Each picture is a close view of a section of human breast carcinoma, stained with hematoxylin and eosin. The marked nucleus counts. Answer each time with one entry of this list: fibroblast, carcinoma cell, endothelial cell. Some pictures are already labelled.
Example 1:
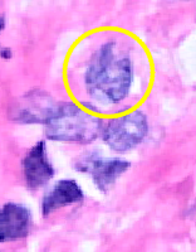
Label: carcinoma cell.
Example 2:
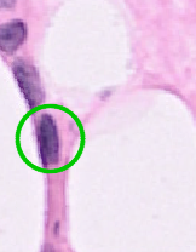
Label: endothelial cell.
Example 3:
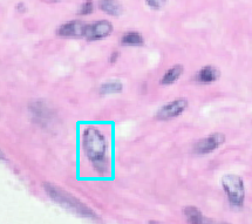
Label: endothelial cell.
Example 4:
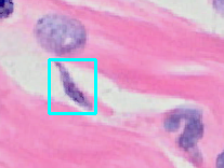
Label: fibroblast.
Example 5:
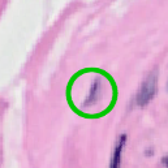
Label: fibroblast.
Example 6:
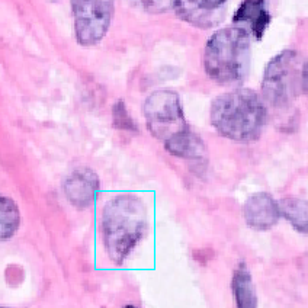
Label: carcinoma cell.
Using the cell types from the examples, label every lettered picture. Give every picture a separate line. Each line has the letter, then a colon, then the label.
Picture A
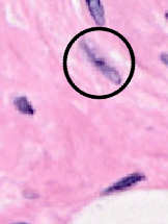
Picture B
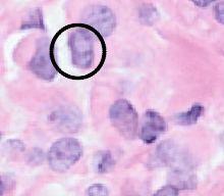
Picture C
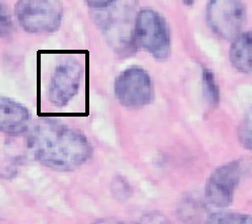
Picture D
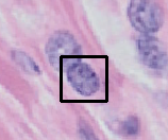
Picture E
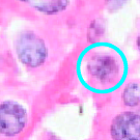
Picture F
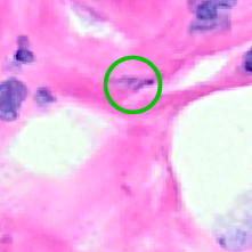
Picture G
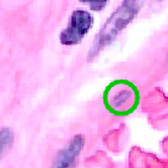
A: fibroblast.
B: carcinoma cell.
C: carcinoma cell.
D: carcinoma cell.
E: carcinoma cell.
F: fibroblast.
G: endothelial cell.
